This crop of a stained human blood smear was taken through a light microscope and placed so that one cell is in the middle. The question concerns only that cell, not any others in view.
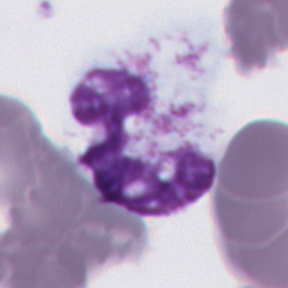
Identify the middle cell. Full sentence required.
At the center of the crop sits a neutrophil.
